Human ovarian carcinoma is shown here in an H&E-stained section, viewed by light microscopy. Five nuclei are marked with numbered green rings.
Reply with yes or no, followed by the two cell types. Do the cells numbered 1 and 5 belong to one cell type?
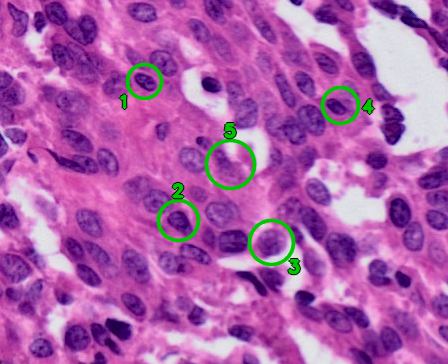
No, cell 1 is a macrophage or monocyte and cell 5 is a carcinoma cell.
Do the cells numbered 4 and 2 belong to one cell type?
Yes, both are macrophages or monocytes.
